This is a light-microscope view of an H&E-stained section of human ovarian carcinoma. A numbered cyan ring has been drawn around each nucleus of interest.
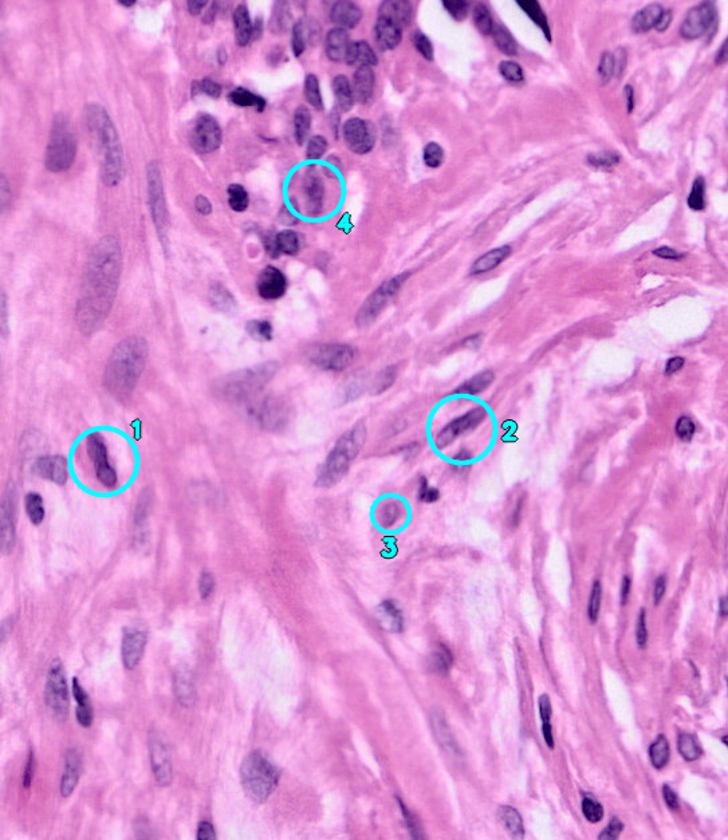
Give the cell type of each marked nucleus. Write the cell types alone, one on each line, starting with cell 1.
fibroblast
fibroblast
fibroblast
carcinoma cell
